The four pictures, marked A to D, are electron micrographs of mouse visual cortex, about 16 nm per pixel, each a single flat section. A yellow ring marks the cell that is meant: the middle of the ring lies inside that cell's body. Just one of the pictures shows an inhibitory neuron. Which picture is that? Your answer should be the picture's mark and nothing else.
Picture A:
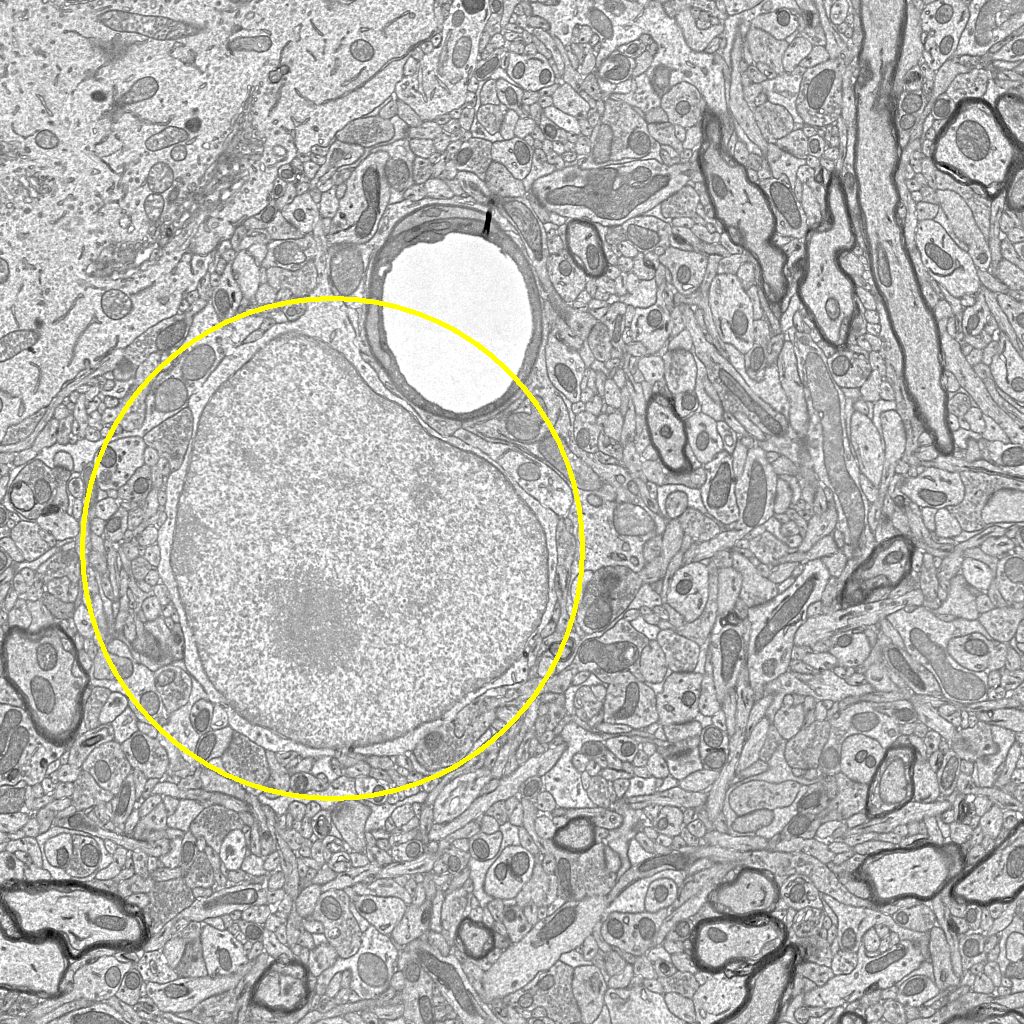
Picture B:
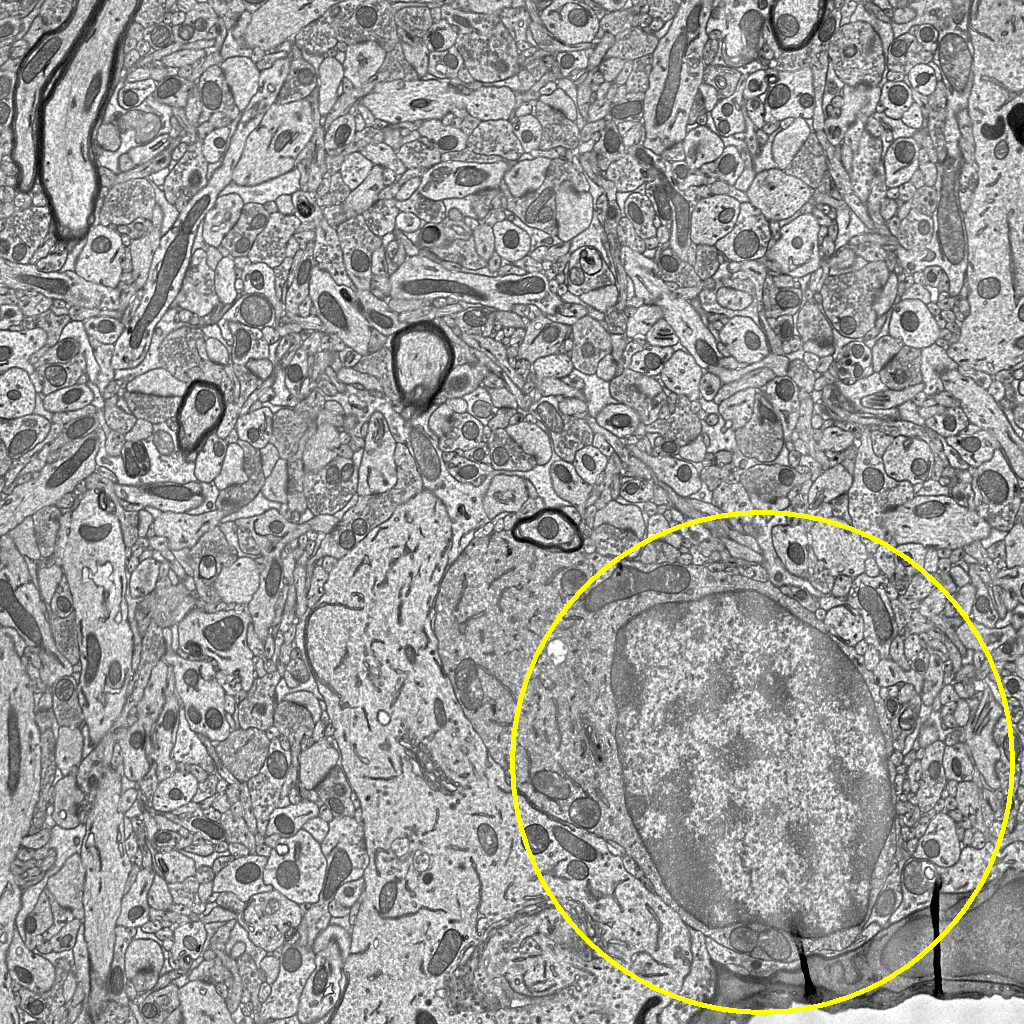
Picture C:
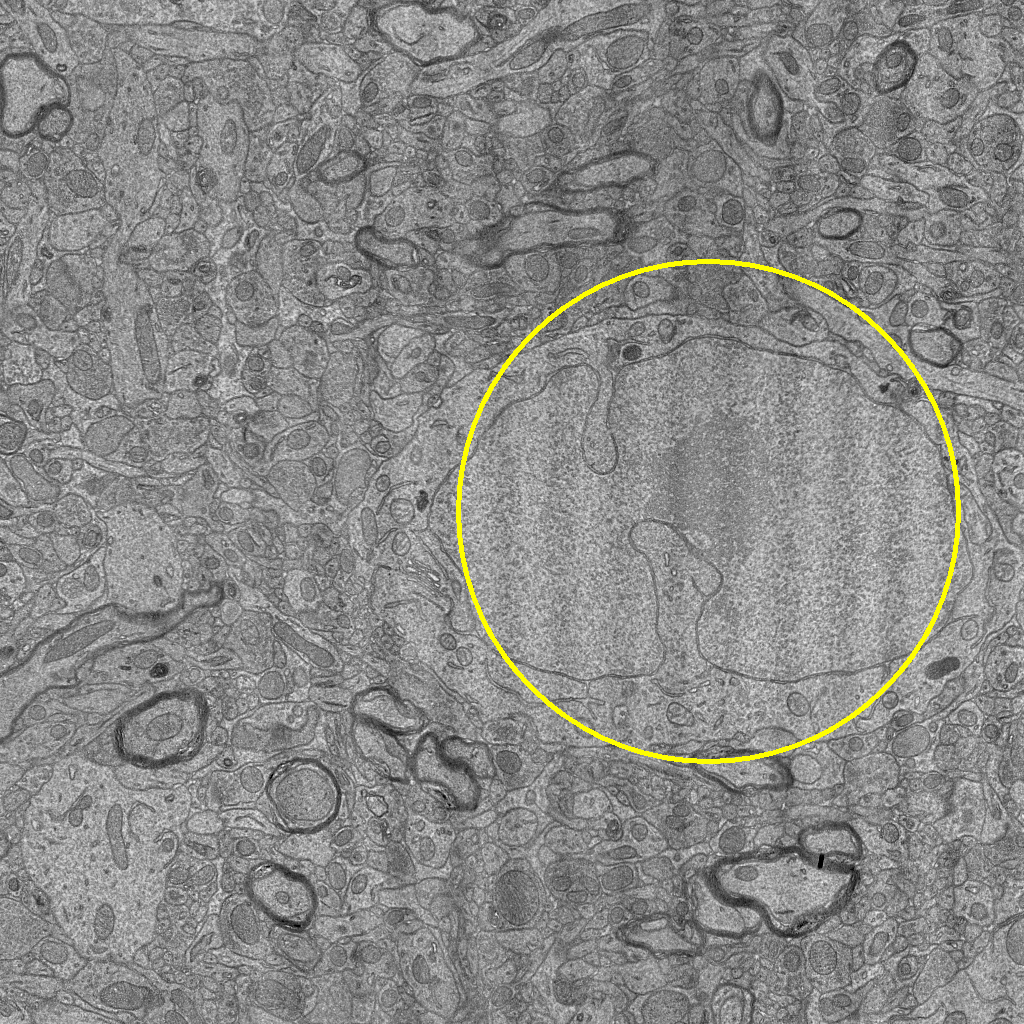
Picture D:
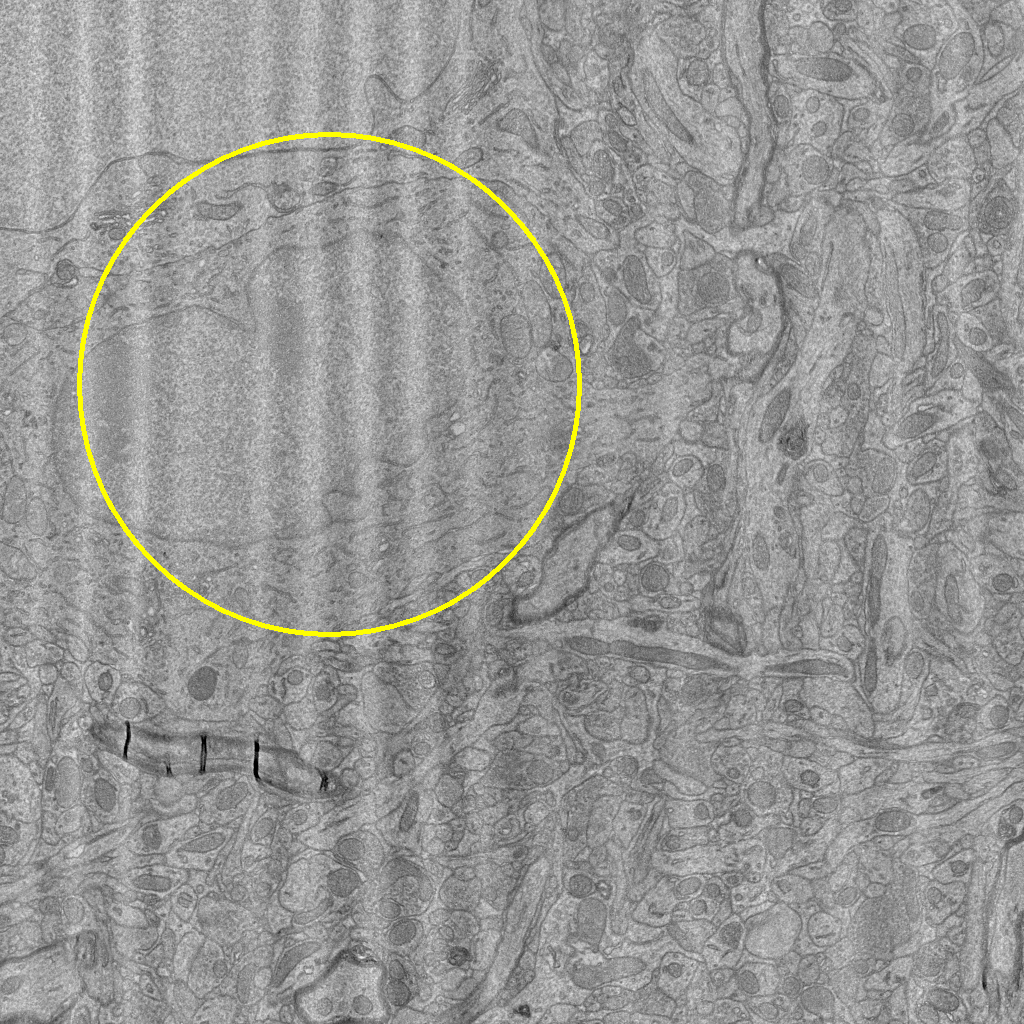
C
